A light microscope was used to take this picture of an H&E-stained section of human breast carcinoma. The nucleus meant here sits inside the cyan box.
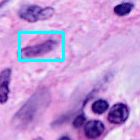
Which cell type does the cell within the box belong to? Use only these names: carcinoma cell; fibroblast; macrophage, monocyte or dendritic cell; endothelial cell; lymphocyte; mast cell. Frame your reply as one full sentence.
In this preparation, the cell within the box is a macrophage, monocyte or dendritic cell.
